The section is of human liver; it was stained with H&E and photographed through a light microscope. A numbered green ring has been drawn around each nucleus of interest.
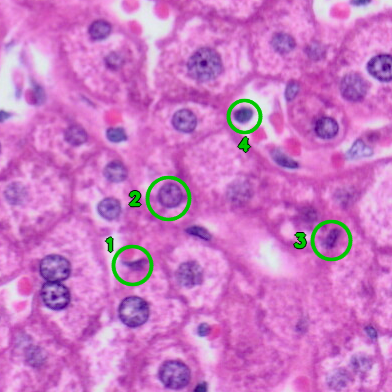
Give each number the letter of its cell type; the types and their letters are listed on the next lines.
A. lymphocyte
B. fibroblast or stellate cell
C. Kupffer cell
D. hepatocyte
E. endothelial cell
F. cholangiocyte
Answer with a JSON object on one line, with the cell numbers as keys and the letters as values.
{"1": "E", "2": "D", "3": "B", "4": "A"}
